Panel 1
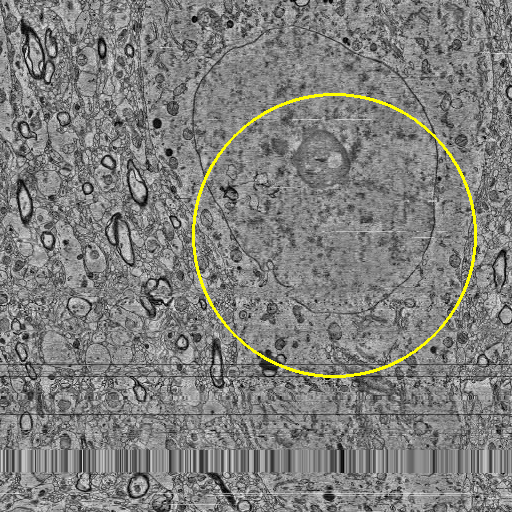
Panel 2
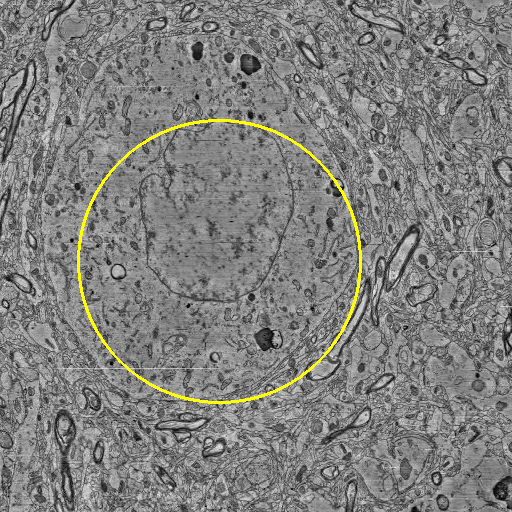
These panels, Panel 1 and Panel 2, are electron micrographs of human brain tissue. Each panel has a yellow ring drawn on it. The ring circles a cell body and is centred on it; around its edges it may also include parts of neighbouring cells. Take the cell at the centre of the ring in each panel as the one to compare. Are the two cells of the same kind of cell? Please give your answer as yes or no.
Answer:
yes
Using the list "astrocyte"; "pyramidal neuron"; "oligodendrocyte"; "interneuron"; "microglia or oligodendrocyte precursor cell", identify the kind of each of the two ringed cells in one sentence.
Each of the two pictures has a pyramidal neuron at the ring centre.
